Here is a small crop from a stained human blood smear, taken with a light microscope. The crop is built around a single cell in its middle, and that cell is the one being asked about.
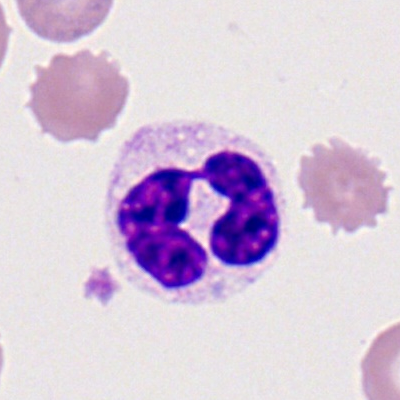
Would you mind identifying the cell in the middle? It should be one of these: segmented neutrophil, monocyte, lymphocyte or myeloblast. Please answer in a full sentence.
The cell featured at the centre of this crop is a segmented neutrophil.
